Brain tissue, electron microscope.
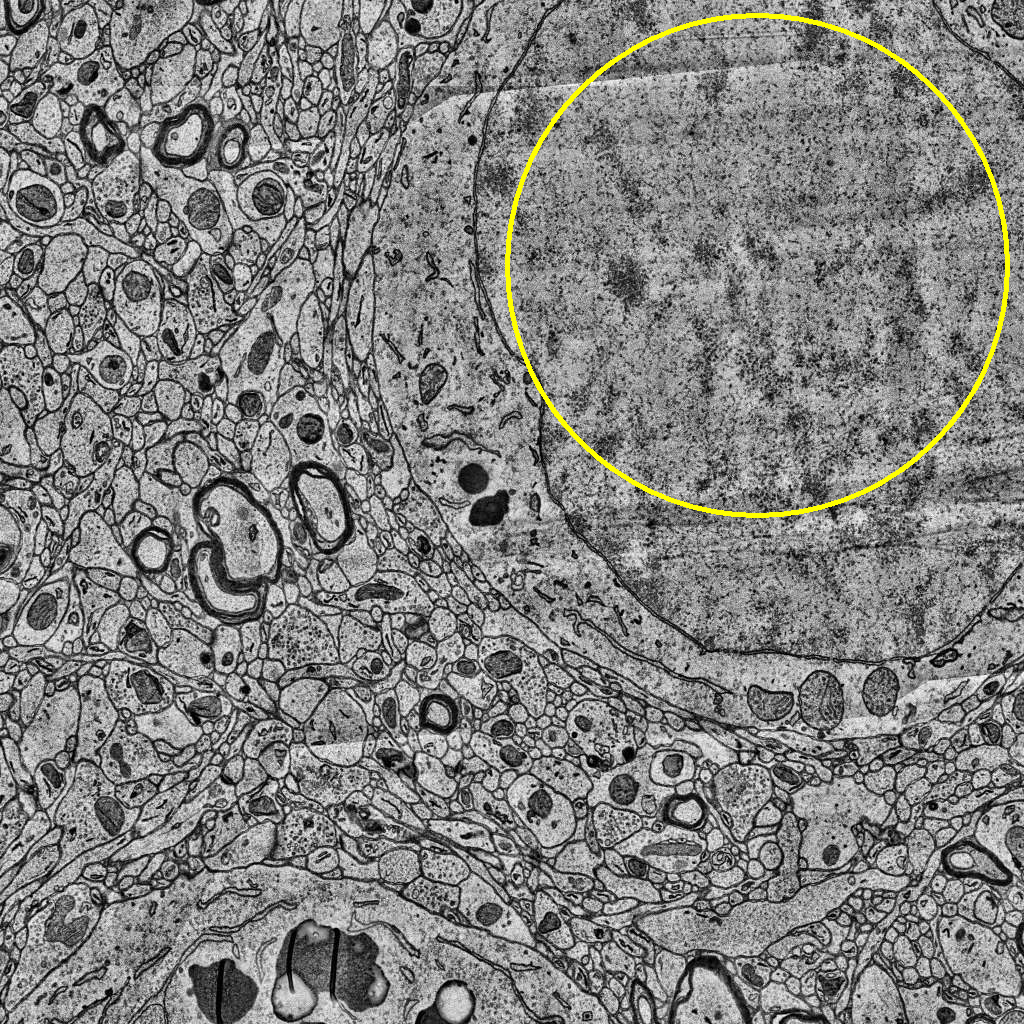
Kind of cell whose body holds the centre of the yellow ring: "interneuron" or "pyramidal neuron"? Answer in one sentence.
The ring's centre falls on a pyramidal neuron.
